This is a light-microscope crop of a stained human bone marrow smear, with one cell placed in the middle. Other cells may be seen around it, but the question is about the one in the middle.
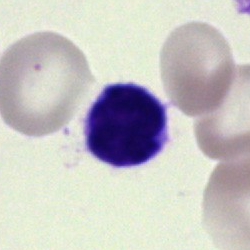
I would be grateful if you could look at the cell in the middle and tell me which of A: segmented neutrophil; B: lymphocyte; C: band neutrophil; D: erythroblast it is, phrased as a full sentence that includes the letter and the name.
The cell centred in the crop is a lymphocyte, and the correct option is thus B.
